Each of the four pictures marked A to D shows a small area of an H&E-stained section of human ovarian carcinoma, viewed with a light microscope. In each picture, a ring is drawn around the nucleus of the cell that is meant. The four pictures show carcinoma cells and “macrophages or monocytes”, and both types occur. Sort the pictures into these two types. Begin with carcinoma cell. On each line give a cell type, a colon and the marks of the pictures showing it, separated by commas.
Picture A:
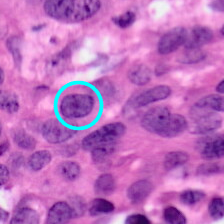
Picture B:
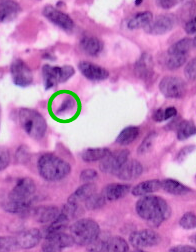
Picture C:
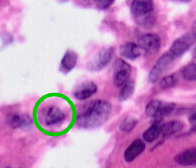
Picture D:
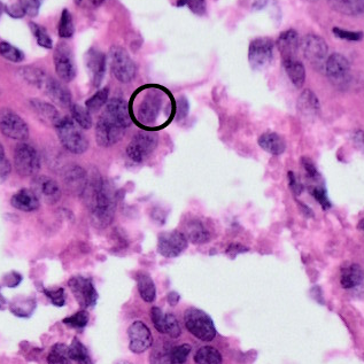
carcinoma cell: A, D
macrophage or monocyte: B, C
